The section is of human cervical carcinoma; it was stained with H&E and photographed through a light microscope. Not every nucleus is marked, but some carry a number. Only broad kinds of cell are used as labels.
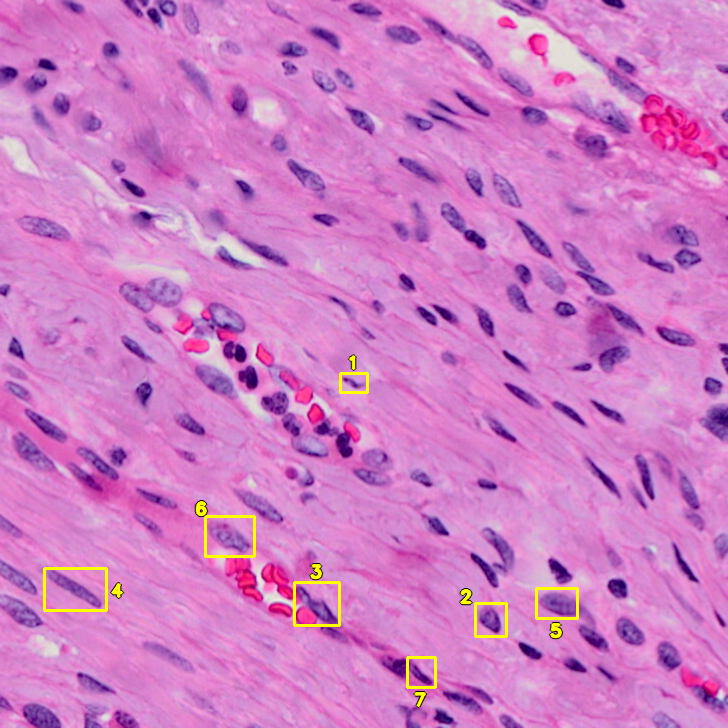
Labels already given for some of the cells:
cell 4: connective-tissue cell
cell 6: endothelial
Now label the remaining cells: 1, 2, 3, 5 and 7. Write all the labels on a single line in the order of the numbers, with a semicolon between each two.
connective-tissue cell; connective-tissue cell; endothelial; connective-tissue cell; endothelial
